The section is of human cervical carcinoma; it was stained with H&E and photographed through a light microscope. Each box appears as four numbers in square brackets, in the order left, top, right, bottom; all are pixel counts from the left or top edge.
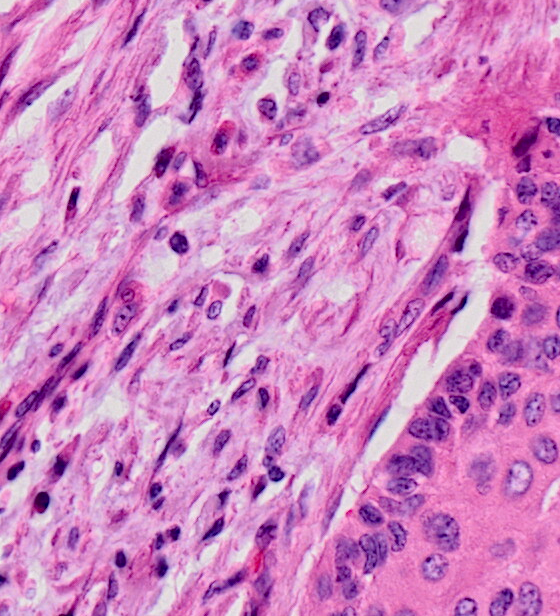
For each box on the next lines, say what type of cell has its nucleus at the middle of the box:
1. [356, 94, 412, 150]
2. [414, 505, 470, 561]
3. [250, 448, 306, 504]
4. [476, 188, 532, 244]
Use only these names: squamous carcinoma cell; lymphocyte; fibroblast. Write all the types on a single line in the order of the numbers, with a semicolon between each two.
fibroblast; squamous carcinoma cell; lymphocyte; squamous carcinoma cell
